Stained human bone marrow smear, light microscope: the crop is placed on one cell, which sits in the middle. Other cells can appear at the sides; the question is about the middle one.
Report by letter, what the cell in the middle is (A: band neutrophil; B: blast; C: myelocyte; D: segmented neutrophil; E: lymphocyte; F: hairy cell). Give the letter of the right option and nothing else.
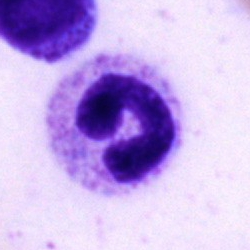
A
